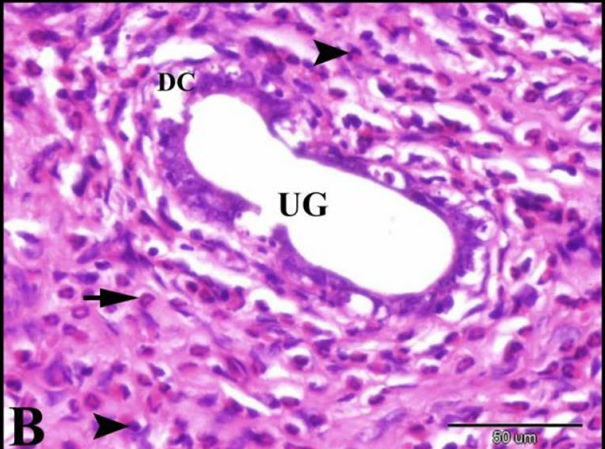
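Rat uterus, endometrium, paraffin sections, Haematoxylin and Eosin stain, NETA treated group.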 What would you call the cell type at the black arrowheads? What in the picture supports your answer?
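Eosinophils. The marked cells are scattered among spindle-shaped stromal cells. They have red-pink cytoplasm with dark nuclei.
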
